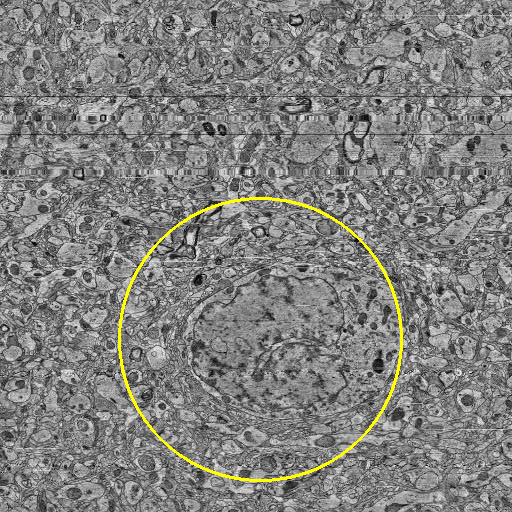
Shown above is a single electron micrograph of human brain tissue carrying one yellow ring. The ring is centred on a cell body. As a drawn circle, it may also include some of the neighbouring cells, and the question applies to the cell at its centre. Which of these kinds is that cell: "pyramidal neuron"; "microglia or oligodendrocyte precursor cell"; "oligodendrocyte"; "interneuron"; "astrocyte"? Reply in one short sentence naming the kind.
The cell marked by the ring is an interneuron.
